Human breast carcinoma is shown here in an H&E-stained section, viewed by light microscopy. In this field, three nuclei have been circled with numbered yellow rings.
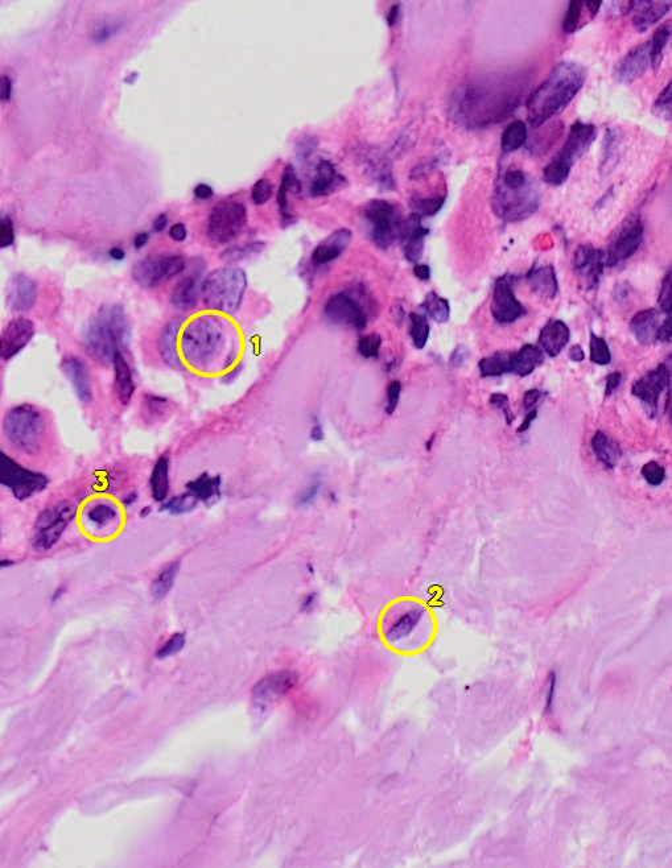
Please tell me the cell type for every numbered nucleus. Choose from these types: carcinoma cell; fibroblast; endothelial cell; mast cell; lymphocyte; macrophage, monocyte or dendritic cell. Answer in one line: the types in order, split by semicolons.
carcinoma cell; fibroblast; lymphocyte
